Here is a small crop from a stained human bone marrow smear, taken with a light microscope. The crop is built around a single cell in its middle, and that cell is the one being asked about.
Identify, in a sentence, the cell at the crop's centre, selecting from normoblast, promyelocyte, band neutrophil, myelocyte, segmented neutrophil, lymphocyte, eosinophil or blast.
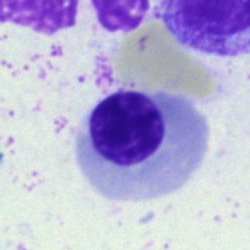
Framed in the middle of the crop is a normoblast.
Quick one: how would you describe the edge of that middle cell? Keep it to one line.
Its outline is smooth, with no projections anywhere along the edge.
